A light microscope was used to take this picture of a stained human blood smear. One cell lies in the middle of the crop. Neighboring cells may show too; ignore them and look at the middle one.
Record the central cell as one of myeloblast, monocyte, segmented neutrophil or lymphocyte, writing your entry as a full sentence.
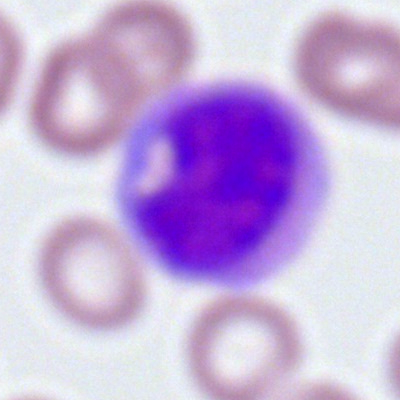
The cell shown in the center of this light-microscope crop is a monocyte.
